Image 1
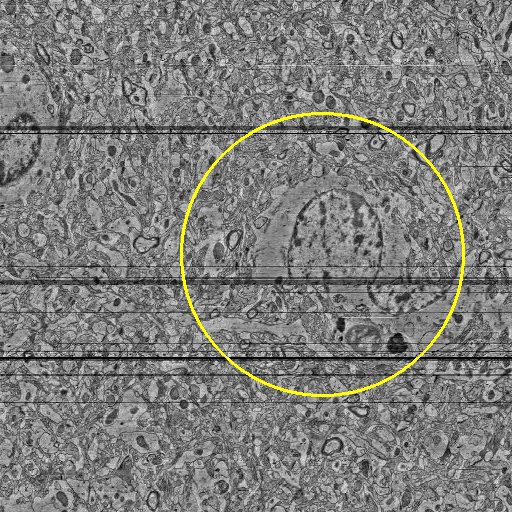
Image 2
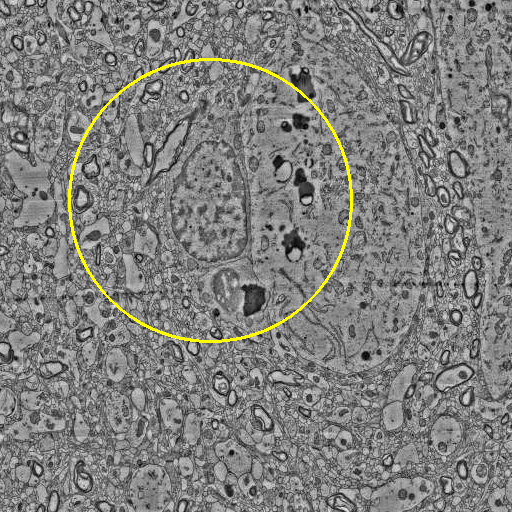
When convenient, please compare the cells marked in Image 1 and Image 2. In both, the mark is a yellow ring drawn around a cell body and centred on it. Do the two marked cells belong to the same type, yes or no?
no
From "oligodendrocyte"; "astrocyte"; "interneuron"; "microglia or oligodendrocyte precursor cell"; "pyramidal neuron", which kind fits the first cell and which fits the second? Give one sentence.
The cell marked in the first picture is an astrocyte, and the one marked in the second is an oligodendrocyte.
